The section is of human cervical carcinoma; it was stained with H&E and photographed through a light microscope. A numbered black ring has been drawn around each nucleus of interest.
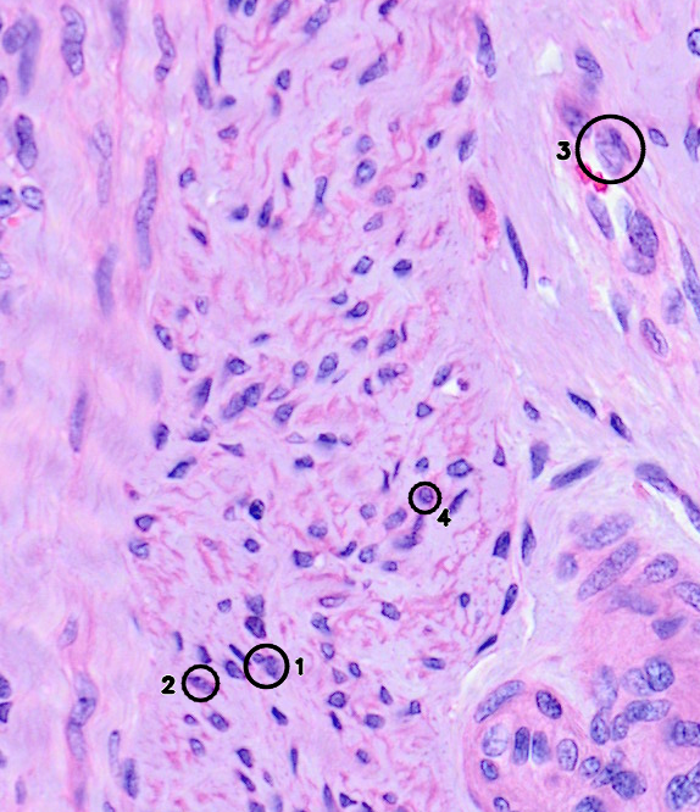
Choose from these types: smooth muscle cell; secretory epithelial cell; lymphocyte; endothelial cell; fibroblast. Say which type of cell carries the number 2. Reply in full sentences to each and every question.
In the marked set, the cell given number 2 is a smooth muscle cell.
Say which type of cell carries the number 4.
The cell whose nucleus carries the number 4 is a smooth muscle cell.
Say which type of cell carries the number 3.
The marked cell bearing number 3 is an endothelial cell.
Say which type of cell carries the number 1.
The expected answer is that cell 1 is a fibroblast.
